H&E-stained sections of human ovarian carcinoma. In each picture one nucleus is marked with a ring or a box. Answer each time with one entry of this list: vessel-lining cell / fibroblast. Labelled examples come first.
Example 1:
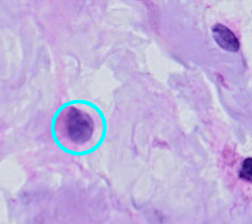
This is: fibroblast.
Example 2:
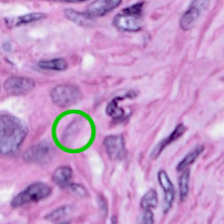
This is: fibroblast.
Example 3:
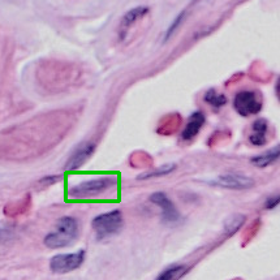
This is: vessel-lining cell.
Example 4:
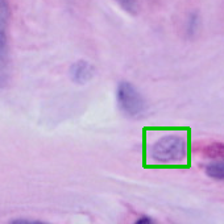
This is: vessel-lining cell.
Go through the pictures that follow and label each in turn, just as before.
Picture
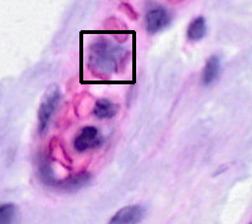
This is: vessel-lining cell.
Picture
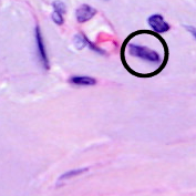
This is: fibroblast.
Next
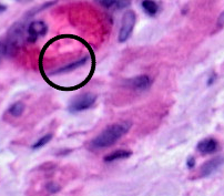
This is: vessel-lining cell.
